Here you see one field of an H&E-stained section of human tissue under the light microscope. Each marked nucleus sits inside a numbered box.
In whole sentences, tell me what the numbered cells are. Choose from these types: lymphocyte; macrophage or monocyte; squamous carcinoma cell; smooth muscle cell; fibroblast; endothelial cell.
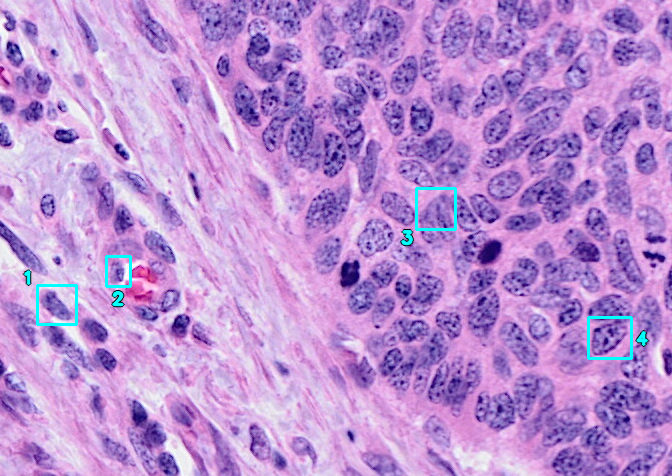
Cell 1 is a lymphocyte. Cell 2 is an endothelial cell. Cells 3 and 4 are squamous carcinoma cells.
